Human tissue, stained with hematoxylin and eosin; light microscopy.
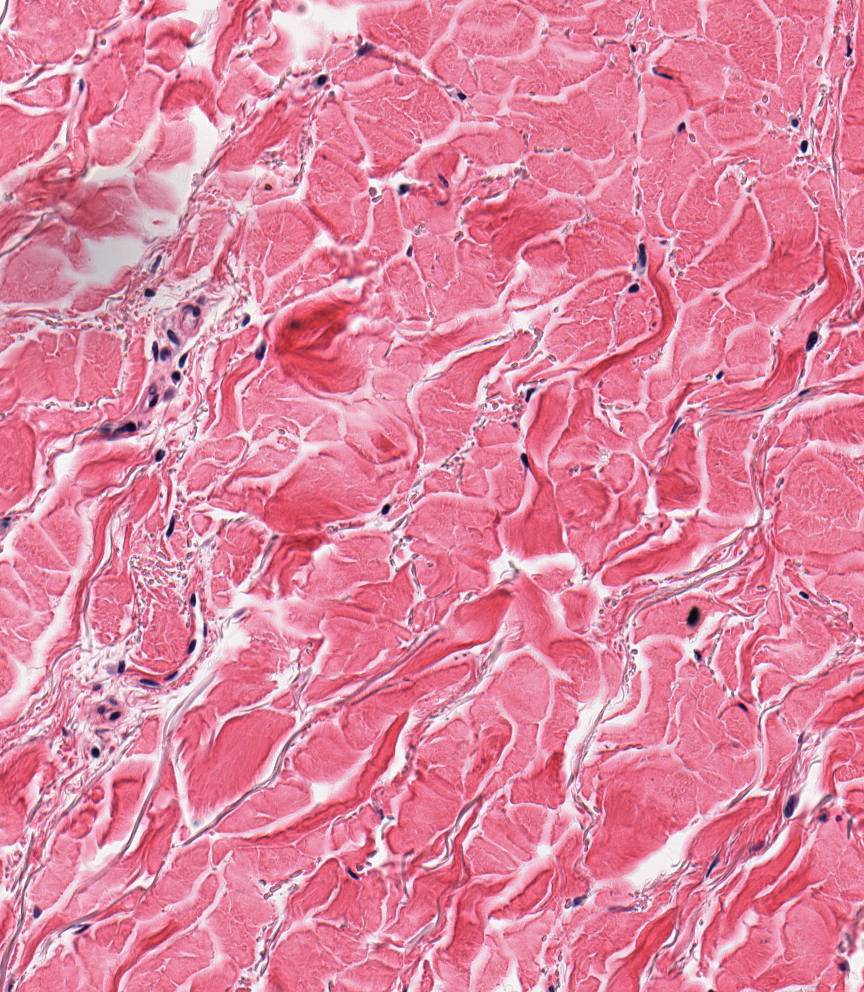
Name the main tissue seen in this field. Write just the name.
dermis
